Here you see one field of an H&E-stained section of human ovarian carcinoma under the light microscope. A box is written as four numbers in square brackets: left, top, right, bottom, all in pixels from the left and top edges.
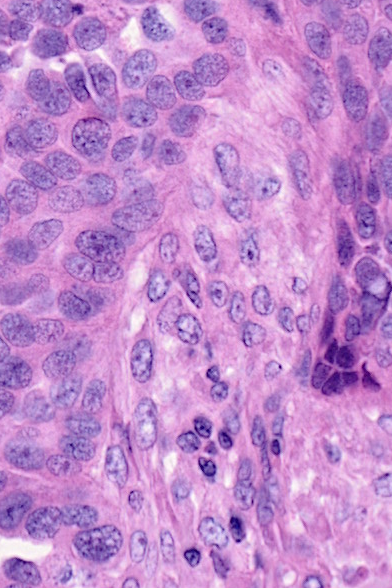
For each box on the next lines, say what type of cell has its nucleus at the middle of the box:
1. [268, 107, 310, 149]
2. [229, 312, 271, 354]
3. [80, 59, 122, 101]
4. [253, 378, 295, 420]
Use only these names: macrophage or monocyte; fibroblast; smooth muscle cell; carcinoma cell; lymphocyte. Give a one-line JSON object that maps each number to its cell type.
{"1": "fibroblast", "2": "fibroblast", "3": "carcinoma cell", "4": "fibroblast"}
